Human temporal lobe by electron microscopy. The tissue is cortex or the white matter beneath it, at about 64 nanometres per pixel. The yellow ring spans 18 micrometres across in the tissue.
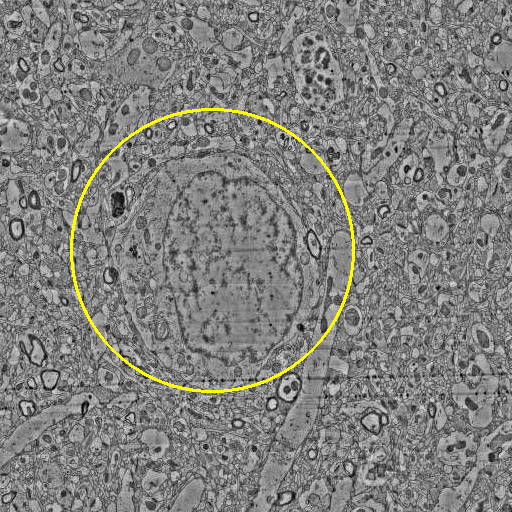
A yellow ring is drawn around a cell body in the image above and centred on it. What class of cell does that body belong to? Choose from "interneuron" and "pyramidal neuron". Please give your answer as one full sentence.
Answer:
The yellow ring above is centred on the cell body of an interneuron.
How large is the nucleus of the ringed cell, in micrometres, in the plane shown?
Approximately 13 micrometres long and 9 micrometres wide, in this plane.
